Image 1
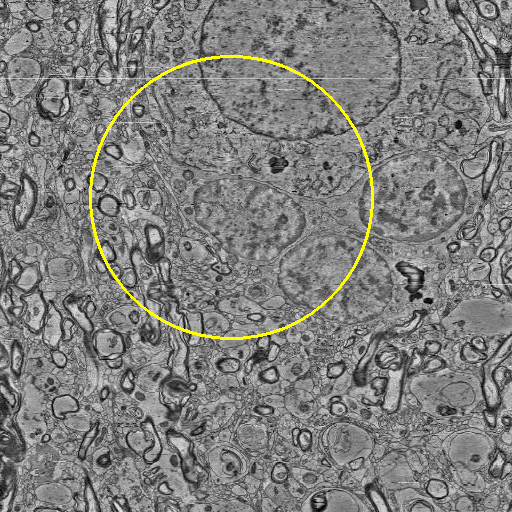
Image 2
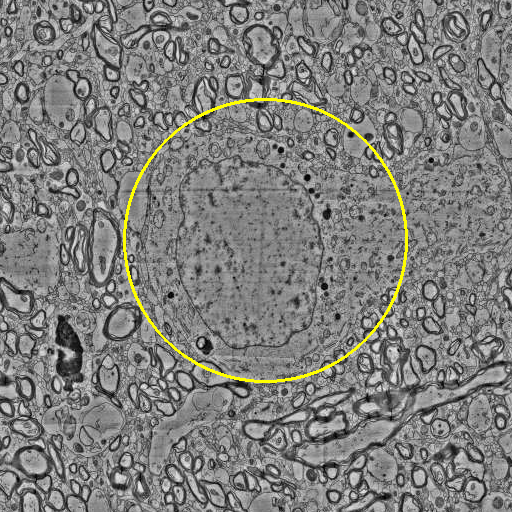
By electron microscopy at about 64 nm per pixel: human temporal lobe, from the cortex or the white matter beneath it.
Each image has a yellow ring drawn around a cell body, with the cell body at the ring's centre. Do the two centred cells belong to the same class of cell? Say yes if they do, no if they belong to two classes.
no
